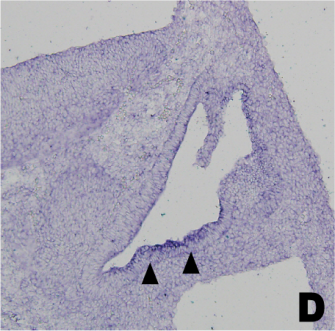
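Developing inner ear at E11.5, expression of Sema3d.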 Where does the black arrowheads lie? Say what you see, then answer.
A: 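The arrowheads point to purple staining along the lower wall of an epithelial vesicle. So: ventral part of the otocyst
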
